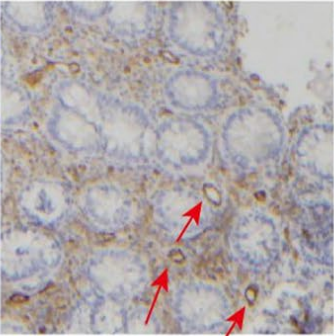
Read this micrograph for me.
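Colon mucosa with crypts cut in cross-section, each a ring of columnar epithelial cells with pale cytoplasm and blue nuclei at the periphery. The lamina propria between the crypts is densely cellular and carries a diffuse light brown tint. Several small round vessels lie between the crypts, each outlined by a thin dark brown endothelial lining around a small lumen.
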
